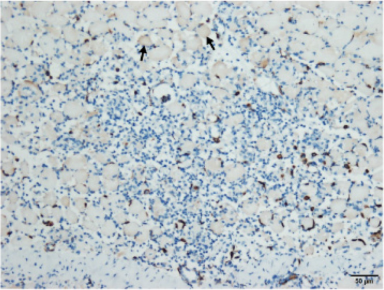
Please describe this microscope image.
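Injured skeletal muscle dominated by a dense infiltrate of small round blue nuclei that fills most of the field, especially the centre and lower half. Scattered among them are pale, rounded muscle fiber profiles of varied size, separated from one another rather than packed together. Only a few fibers at the top show brown staining of their cytoplasm, and small dark brown dots are scattered through the infiltrate. The regular polygonal mosaic of intact muscle is largely lost.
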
